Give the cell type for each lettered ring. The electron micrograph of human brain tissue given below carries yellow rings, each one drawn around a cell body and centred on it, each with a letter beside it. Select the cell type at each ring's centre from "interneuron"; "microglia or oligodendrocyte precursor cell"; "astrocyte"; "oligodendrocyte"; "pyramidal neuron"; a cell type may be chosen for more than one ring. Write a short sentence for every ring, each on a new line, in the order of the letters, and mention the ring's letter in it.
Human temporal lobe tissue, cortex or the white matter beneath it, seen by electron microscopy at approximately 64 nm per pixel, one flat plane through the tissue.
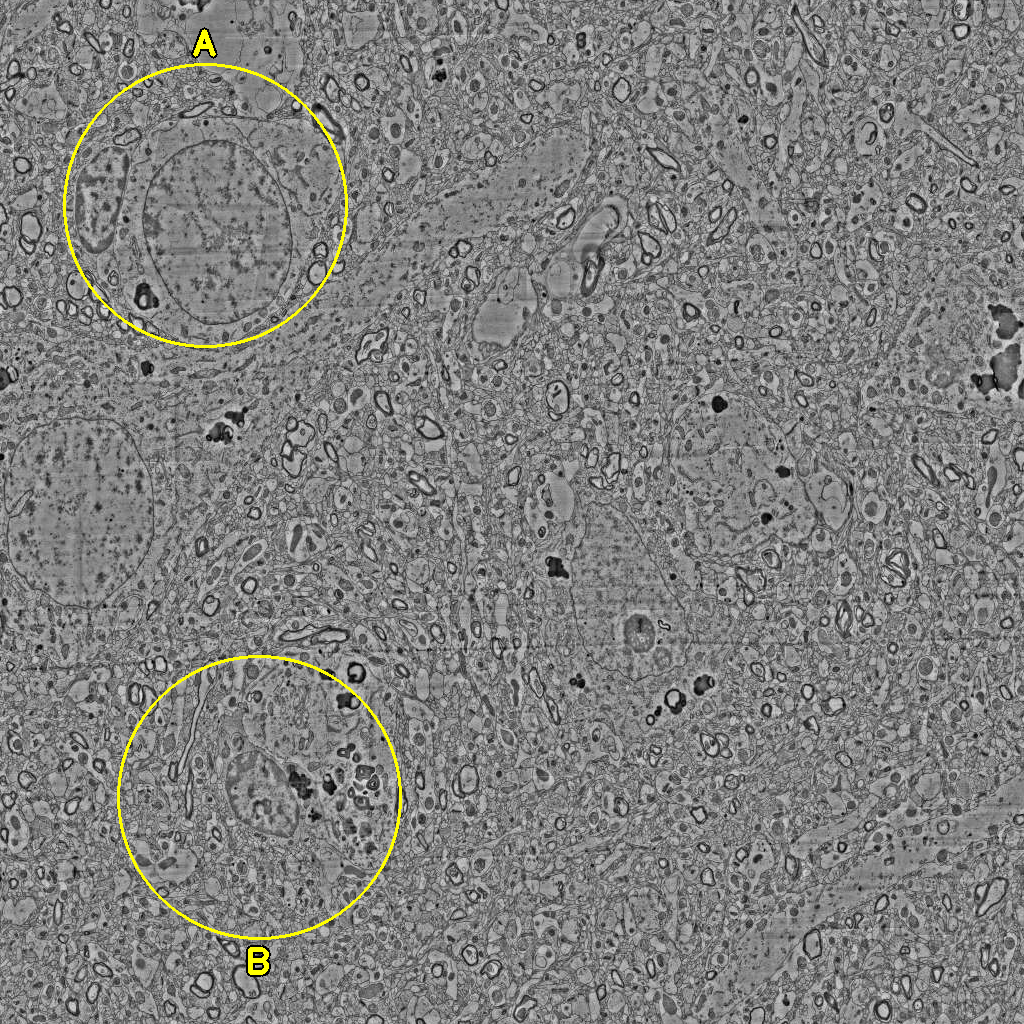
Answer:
The cell type for ring A is a pyramidal neuron.
The cell type for ring B is an oligodendrocyte.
